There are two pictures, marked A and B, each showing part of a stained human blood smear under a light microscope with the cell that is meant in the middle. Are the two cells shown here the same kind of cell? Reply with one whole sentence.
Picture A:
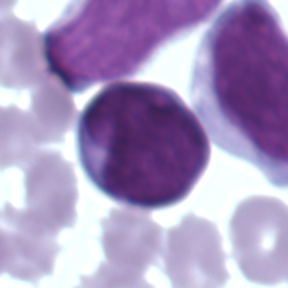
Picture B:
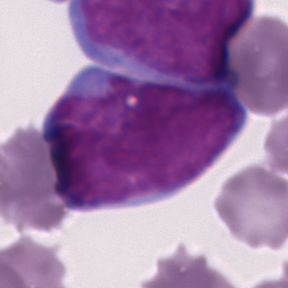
Yes, they are the same type: both are myeloblasts.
